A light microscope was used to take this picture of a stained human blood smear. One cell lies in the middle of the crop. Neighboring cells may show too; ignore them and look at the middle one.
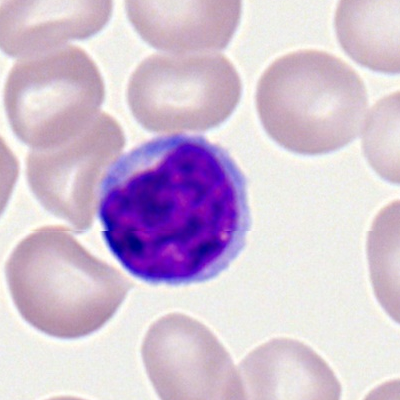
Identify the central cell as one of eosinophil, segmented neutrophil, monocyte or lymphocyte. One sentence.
This crop's central cell is a lymphocyte.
